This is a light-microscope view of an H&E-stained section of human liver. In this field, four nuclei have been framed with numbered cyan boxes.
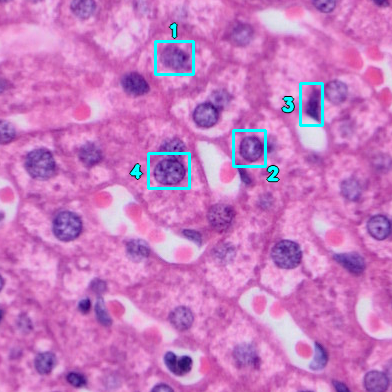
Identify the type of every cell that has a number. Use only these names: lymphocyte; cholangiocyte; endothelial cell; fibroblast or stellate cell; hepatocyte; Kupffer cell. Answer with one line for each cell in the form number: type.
1: hepatocyte
2: hepatocyte
3: fibroblast or stellate cell
4: hepatocyte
